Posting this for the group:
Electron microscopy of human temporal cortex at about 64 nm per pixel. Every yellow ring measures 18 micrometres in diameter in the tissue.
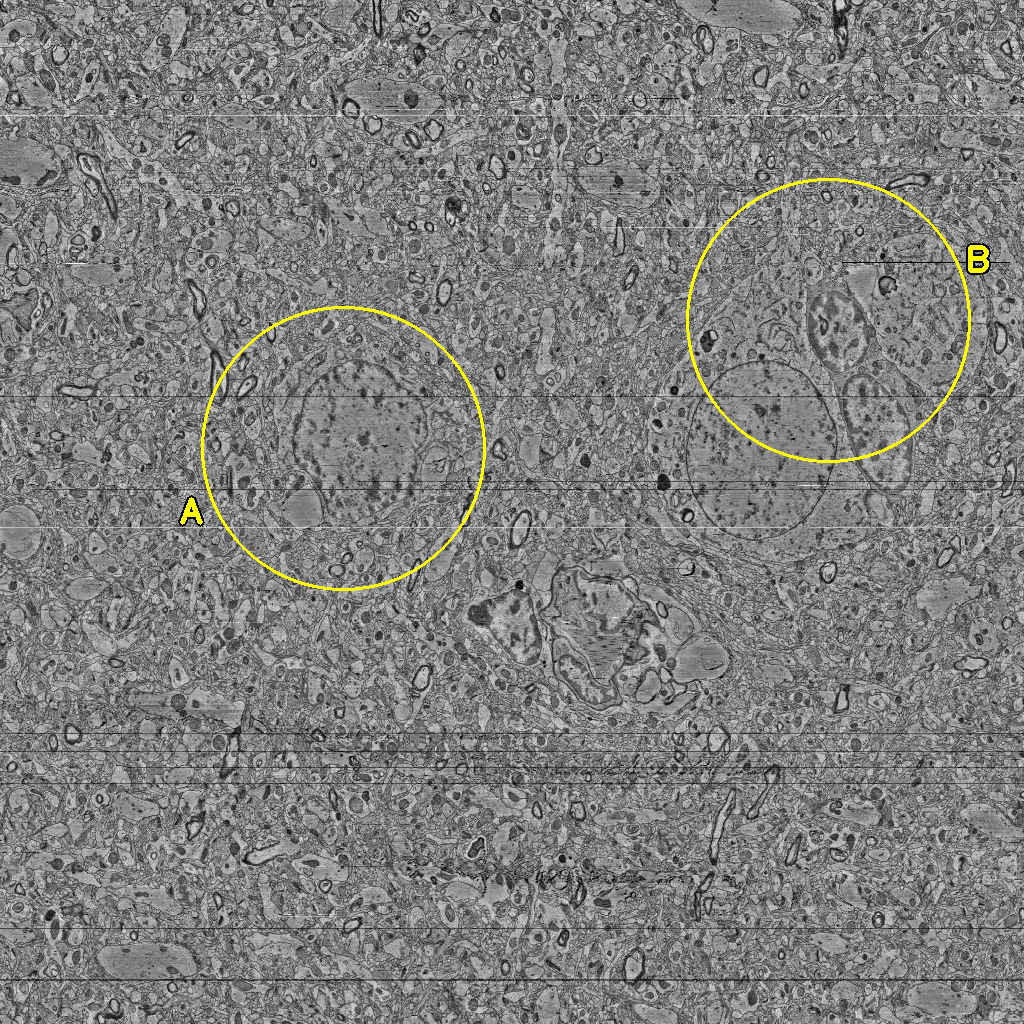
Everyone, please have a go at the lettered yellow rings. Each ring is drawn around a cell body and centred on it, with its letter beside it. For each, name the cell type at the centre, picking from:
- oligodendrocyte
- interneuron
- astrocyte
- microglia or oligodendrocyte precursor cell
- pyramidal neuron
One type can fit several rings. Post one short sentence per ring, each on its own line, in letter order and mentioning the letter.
My call for ring A is an interneuron.
My call for ring B is an oligodendrocyte.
